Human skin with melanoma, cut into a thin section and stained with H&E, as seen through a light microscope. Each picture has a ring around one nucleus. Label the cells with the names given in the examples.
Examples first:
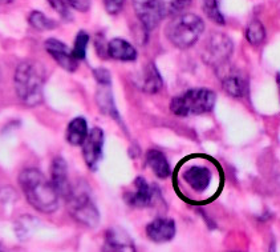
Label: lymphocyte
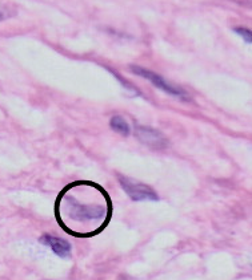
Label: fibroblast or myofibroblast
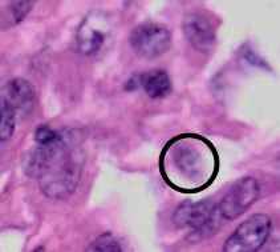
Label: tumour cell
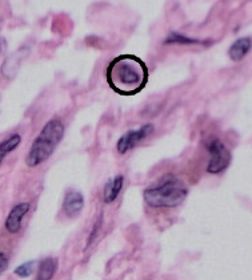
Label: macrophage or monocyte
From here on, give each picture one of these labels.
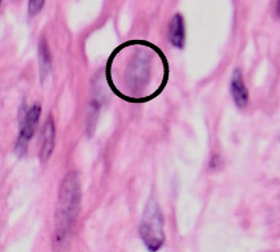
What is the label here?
fibroblast or myofibroblast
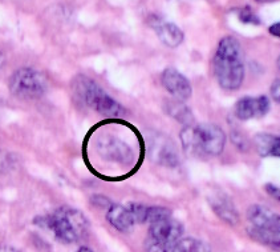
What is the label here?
tumour cell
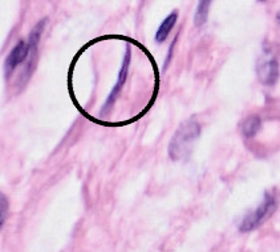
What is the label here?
fibroblast or myofibroblast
